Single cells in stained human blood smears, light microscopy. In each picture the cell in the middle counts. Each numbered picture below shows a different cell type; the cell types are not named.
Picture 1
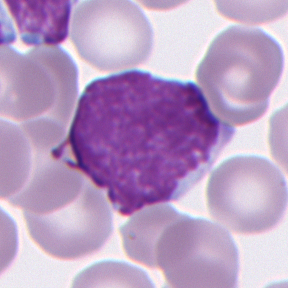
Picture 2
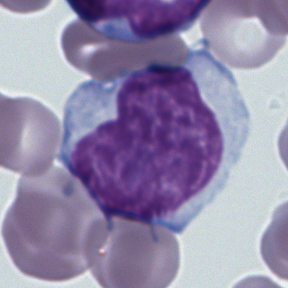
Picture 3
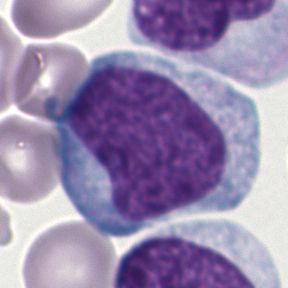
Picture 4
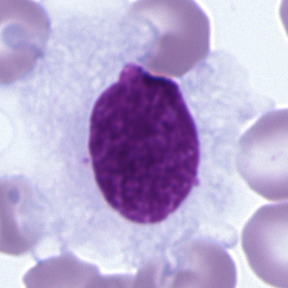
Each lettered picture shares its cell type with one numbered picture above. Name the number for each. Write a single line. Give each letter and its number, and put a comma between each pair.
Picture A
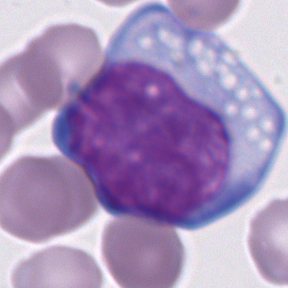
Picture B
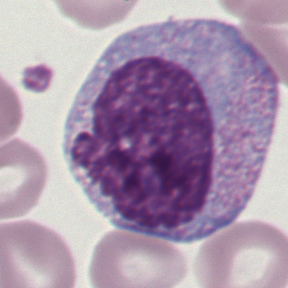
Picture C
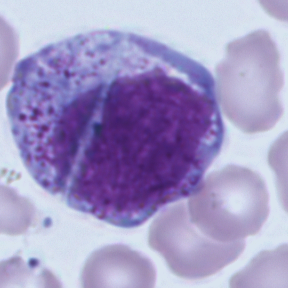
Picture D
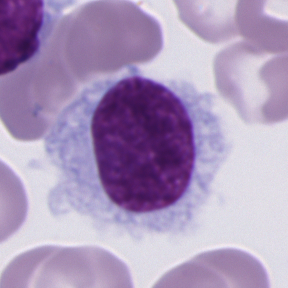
A 2, B 3, C 3, D 4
